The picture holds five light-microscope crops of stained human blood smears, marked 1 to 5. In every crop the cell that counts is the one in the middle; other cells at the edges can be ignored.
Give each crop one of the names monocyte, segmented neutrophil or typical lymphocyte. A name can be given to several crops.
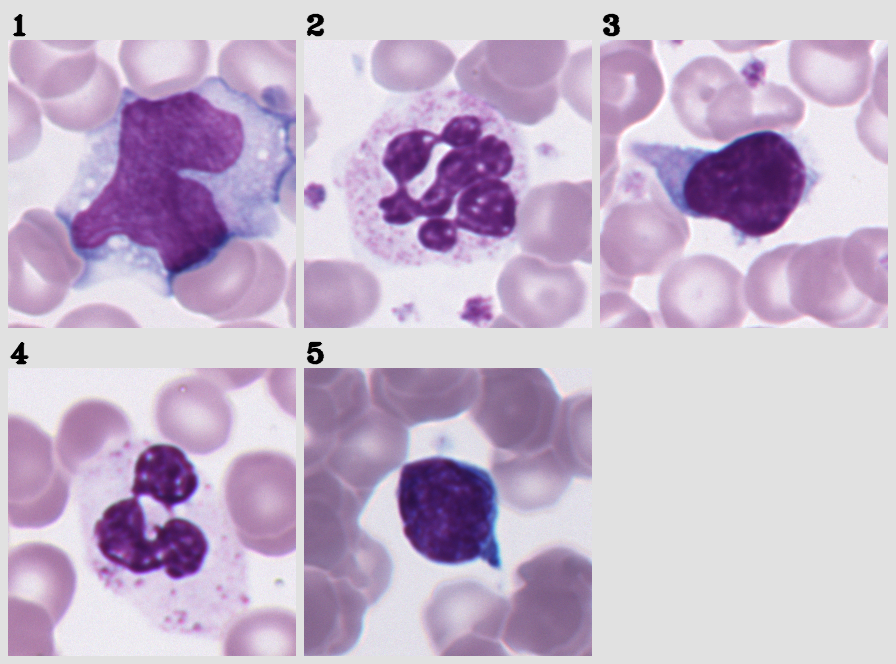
1: monocyte
2: segmented neutrophil
3: typical lymphocyte
4: segmented neutrophil
5: typical lymphocyte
